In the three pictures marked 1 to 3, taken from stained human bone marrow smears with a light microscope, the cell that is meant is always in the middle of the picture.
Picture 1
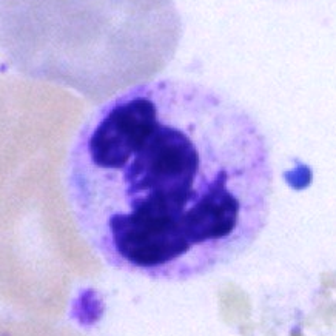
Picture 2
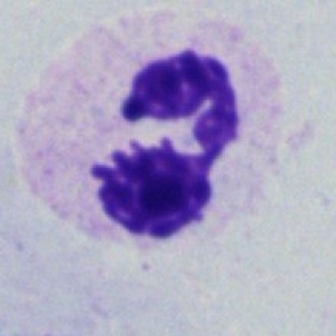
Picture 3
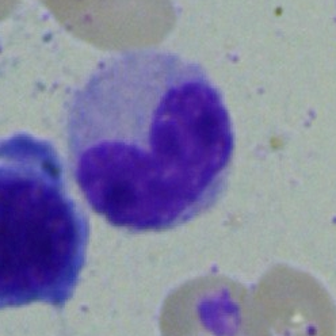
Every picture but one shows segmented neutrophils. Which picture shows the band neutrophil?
3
